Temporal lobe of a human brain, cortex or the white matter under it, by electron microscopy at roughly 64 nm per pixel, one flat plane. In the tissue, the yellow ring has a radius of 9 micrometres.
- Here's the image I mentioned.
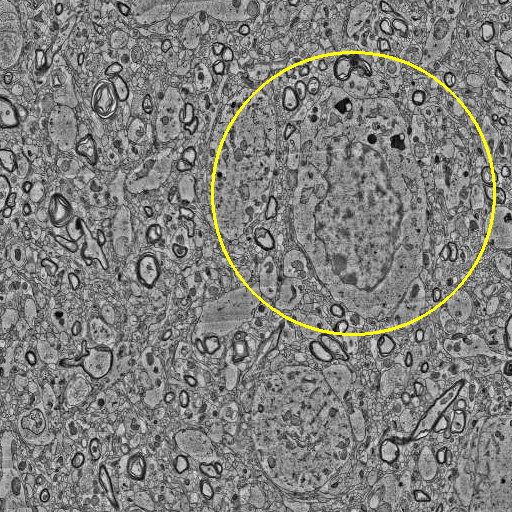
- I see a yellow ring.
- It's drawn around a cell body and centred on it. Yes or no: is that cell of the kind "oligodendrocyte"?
no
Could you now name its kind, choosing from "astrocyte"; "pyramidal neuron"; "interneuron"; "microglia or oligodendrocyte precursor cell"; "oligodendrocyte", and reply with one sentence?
Instead, the picture shows an interneuron at the centre of the ring.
